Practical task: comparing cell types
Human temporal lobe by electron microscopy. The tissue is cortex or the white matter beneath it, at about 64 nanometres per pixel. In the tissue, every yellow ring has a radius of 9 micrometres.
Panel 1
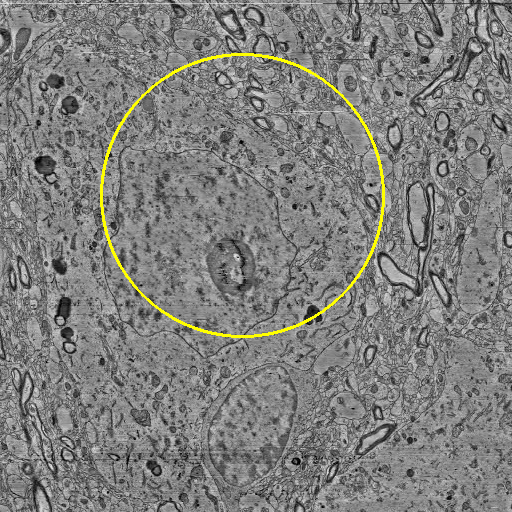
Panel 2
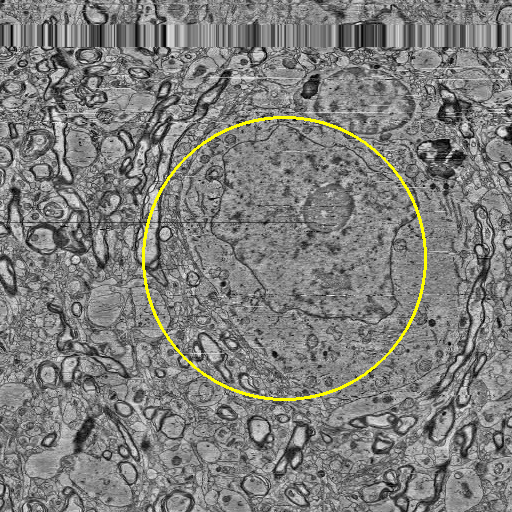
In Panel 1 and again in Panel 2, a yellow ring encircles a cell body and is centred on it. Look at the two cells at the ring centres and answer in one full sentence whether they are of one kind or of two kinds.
The two cells sitting at the ring centres of Panels 1 and 2 are of one kind.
